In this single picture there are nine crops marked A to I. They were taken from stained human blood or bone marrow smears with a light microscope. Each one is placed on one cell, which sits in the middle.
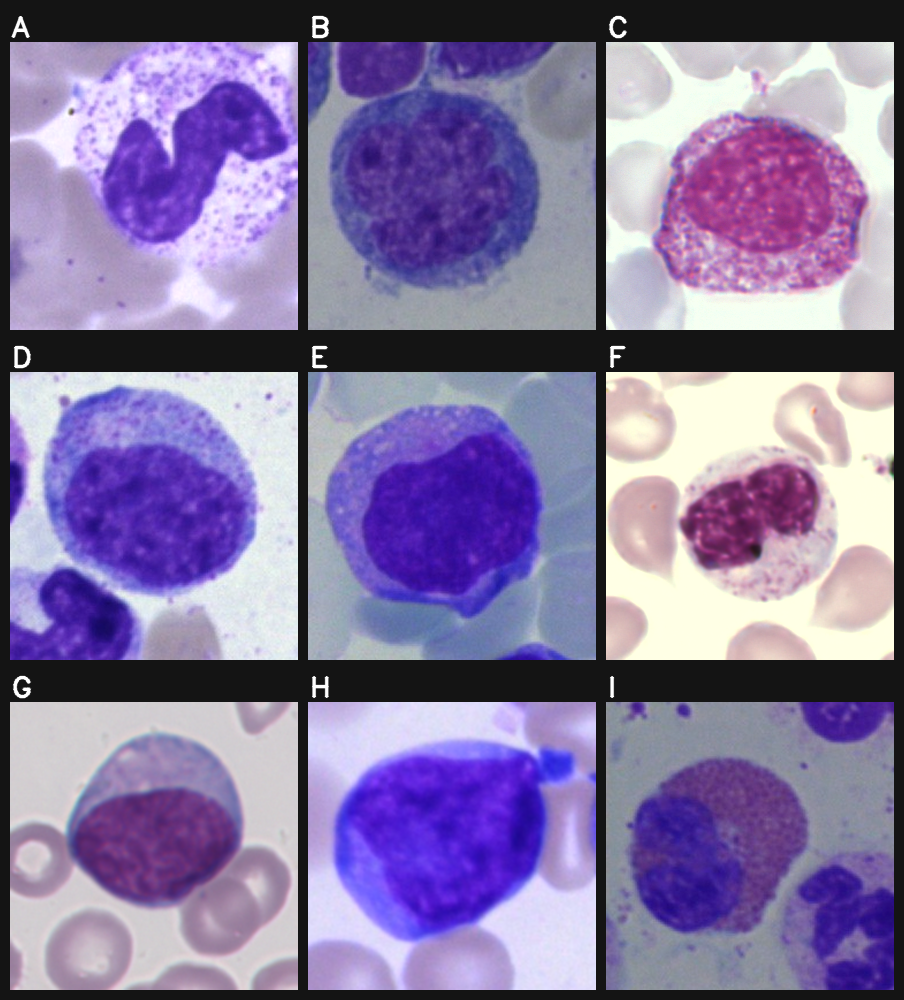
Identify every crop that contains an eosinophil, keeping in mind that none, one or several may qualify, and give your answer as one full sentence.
In none of the crops except crop I is an eosinophil shown.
